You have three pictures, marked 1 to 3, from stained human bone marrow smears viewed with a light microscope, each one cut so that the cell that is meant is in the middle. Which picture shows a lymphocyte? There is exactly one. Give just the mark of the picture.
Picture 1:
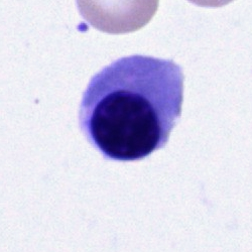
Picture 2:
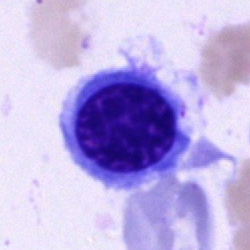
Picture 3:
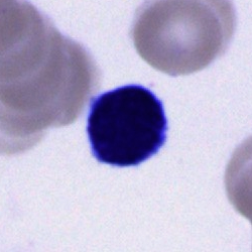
3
